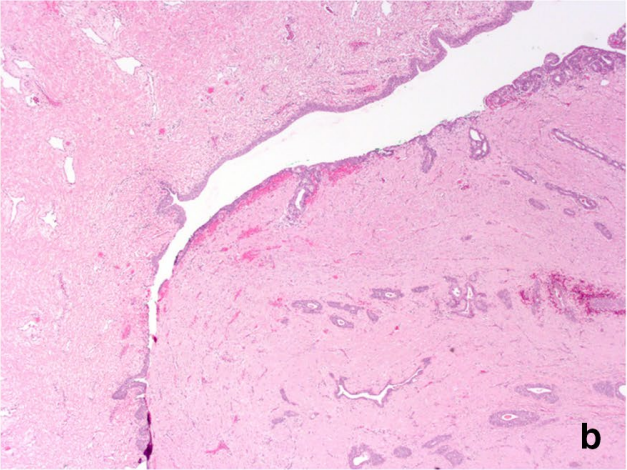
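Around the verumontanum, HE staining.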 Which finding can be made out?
Extensive fibrosis.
